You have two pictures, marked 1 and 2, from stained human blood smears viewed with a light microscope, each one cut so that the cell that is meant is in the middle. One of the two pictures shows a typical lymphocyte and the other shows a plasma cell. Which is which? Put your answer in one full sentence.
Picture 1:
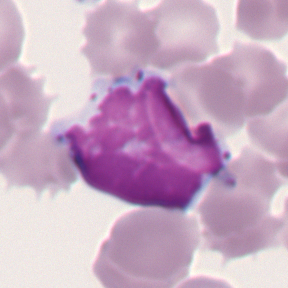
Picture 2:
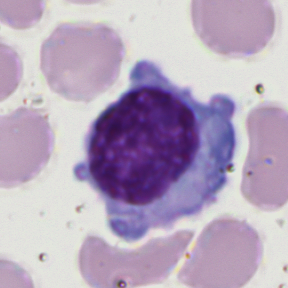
The cell in picture 1 is a typical lymphocyte, and the one in picture 2 is a plasma cell.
